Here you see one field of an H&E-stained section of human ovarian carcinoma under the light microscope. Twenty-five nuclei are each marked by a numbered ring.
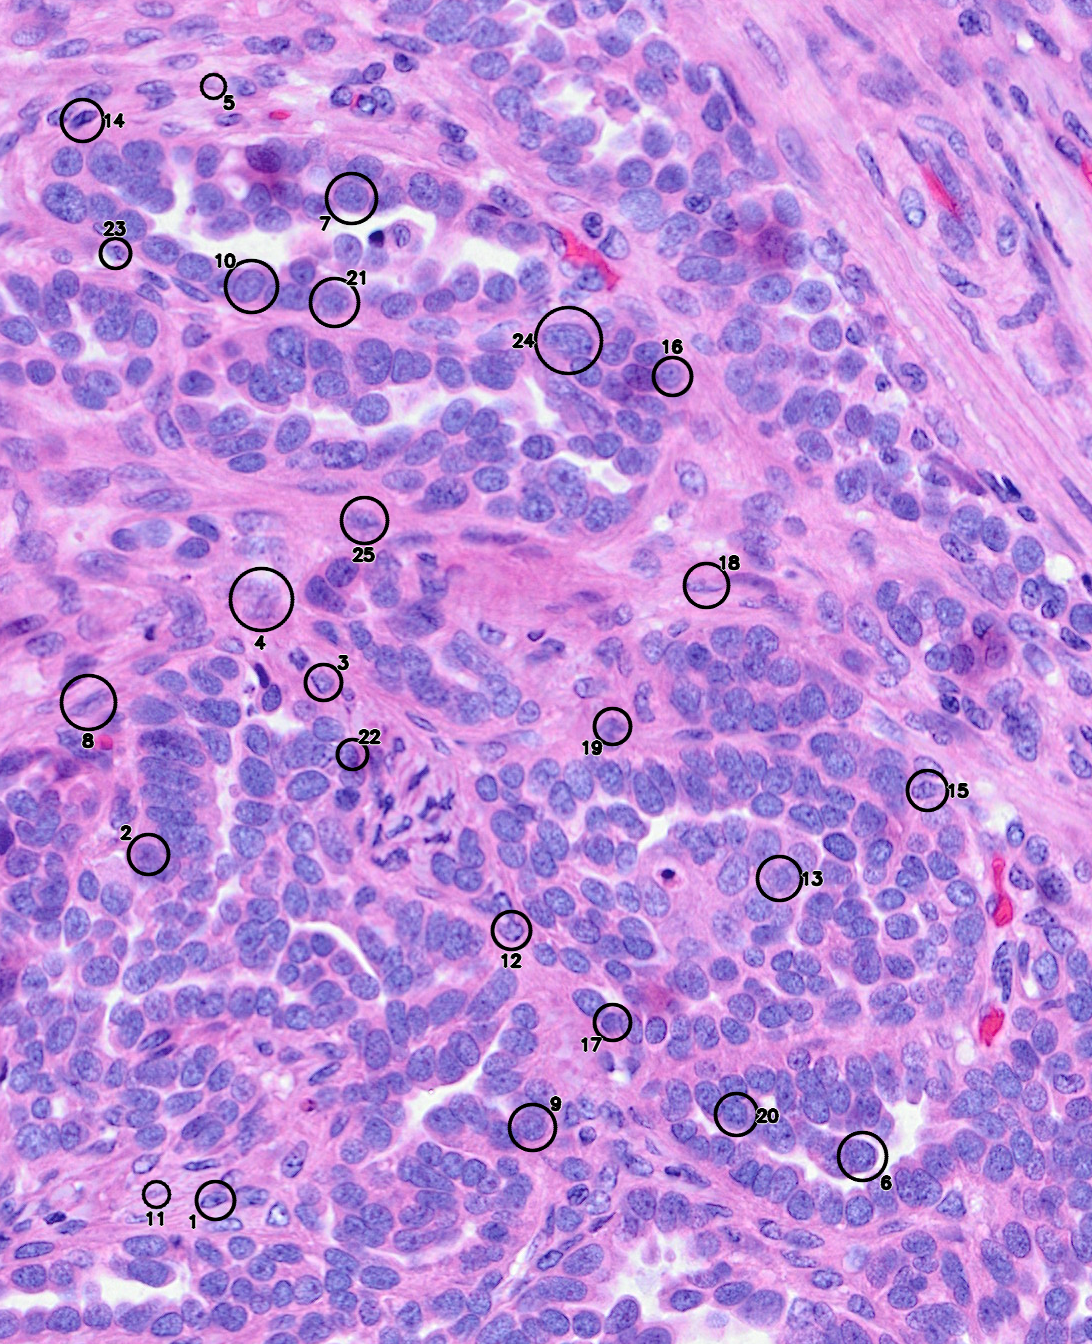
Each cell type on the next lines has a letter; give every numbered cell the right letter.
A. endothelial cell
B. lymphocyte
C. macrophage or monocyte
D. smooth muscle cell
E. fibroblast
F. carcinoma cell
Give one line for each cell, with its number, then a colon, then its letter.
1: E
2: F
3: E
4: E
5: E
6: F
7: F
8: E
9: F
10: F
11: E
12: E
13: F
14: B
15: C
16: F
17: F
18: E
19: E
20: F
21: F
22: F
23: C
24: F
25: E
